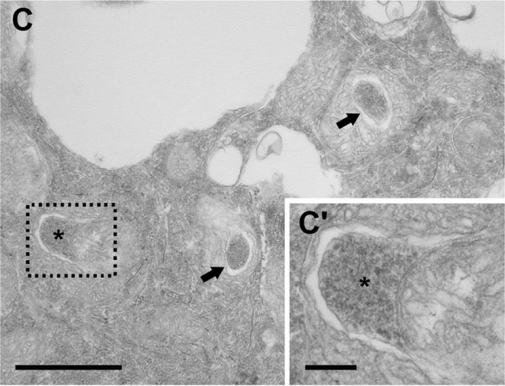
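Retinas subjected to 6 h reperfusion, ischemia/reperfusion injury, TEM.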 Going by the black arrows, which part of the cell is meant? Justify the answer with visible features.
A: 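Round vesicles bounded by two membranes separated by a clear halo. The vesicles enclose dense cytoplasmic material.
Autophagosomes.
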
